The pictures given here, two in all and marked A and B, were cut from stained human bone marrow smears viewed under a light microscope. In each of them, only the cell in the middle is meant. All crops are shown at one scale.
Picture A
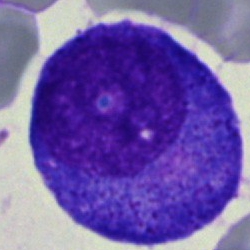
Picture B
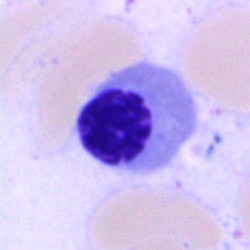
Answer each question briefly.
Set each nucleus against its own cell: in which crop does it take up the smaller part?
B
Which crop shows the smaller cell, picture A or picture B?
B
